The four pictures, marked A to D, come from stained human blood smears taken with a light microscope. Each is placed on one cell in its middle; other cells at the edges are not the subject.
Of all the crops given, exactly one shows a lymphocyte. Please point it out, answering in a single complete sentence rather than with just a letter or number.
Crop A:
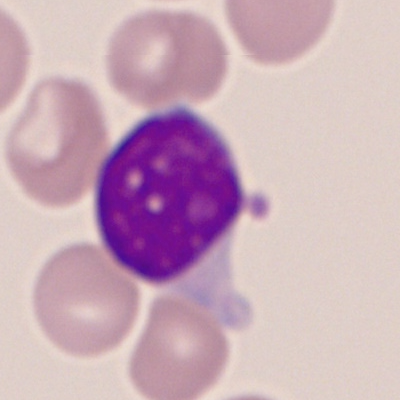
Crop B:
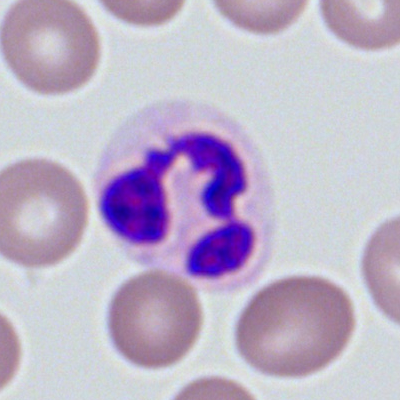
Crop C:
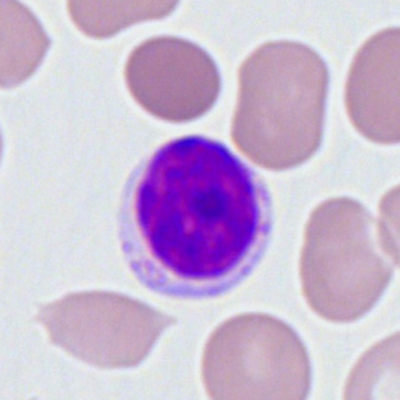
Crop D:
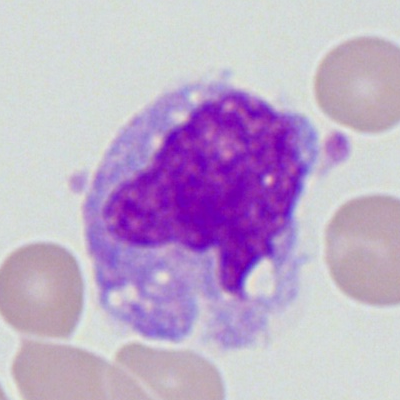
Among these crops, crop C holds a lymphocyte.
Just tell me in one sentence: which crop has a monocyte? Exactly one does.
Of these crops, it is crop D that shows a monocyte.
